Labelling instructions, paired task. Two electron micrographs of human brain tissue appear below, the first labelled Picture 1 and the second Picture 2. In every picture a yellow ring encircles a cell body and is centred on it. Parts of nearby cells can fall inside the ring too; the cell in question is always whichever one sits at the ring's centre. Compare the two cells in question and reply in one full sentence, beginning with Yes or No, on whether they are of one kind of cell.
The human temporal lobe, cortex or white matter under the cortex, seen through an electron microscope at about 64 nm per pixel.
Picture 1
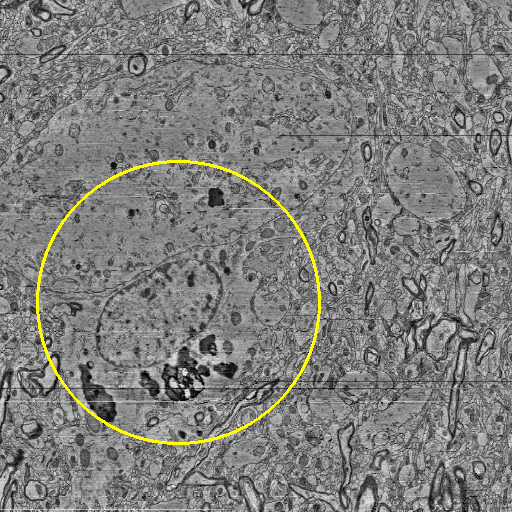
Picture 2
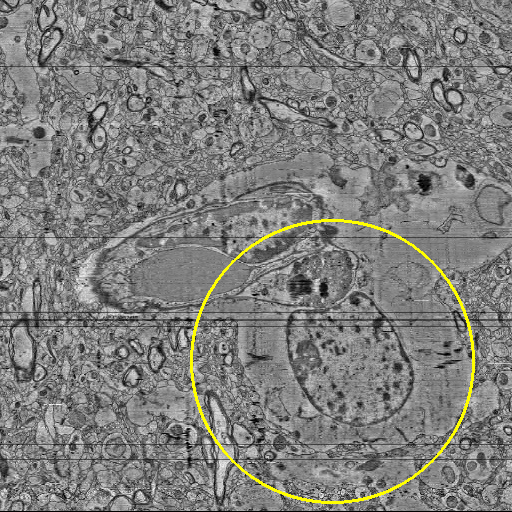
Yes, the two cells at the ring centres in Picture 1 and Picture 2 are of one kind.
